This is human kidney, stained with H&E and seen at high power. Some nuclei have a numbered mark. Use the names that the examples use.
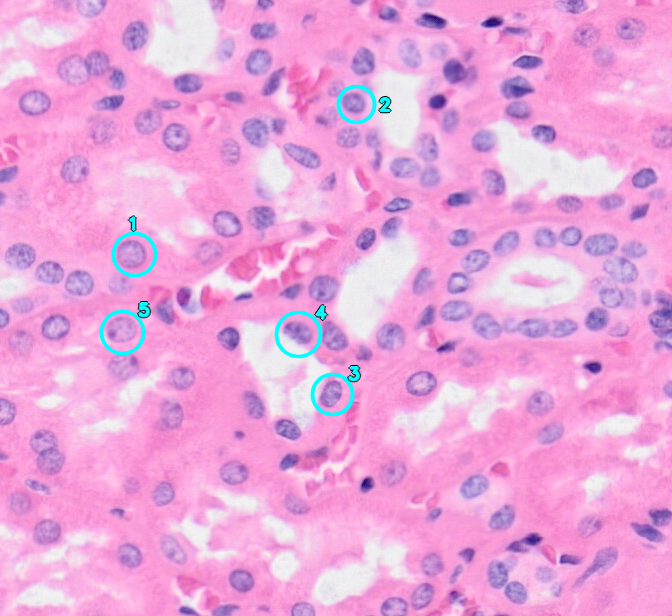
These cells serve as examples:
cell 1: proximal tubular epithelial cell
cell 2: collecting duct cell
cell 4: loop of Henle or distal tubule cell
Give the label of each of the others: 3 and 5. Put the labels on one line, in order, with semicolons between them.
loop of Henle or distal tubule cell; proximal tubular epithelial cell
